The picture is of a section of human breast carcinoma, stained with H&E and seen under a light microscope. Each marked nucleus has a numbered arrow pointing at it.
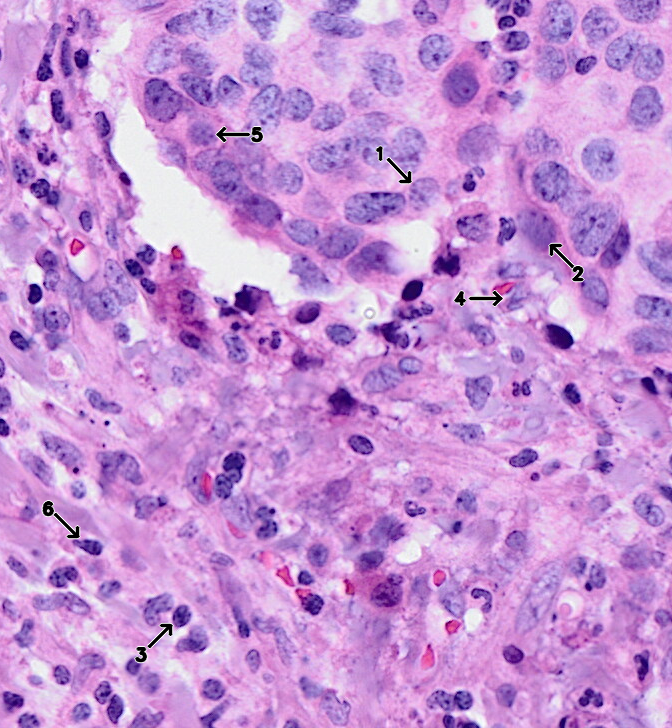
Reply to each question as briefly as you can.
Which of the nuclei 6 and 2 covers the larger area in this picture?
2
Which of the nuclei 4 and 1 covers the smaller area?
4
